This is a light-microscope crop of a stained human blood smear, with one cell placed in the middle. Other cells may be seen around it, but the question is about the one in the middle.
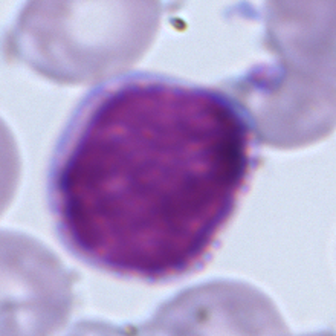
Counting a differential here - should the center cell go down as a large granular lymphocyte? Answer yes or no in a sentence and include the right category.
Yes, the cell centred in this crop is a large granular lymphocyte.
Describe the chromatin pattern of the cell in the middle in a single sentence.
Heads up, the chromatin is fine with no coarse clumps in it.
